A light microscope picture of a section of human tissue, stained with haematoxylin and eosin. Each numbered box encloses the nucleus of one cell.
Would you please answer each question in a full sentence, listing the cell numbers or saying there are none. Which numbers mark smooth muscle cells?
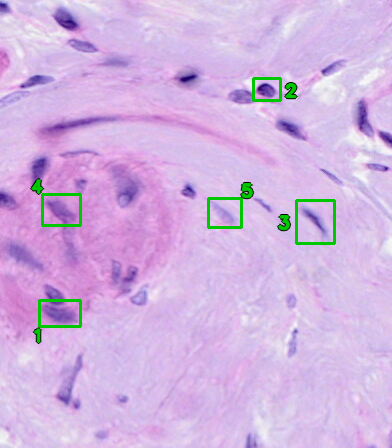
When it comes to cells 1 and 4, they are smooth muscle cells.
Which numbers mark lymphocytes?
Cell 2 is a lymphocyte; no further numbered cell is.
